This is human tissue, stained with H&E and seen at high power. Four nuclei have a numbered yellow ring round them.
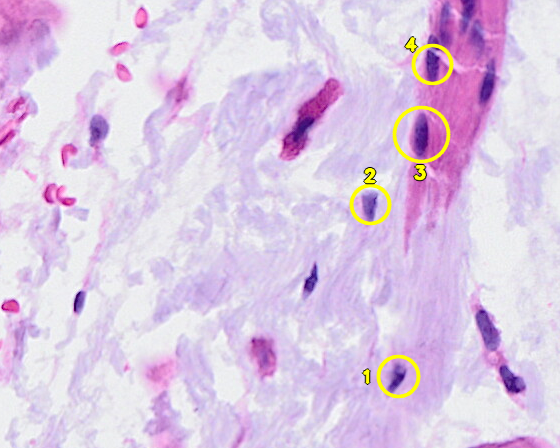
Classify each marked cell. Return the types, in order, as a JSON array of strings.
["fibroblast", "fibroblast", "smooth muscle cell", "smooth muscle cell"]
